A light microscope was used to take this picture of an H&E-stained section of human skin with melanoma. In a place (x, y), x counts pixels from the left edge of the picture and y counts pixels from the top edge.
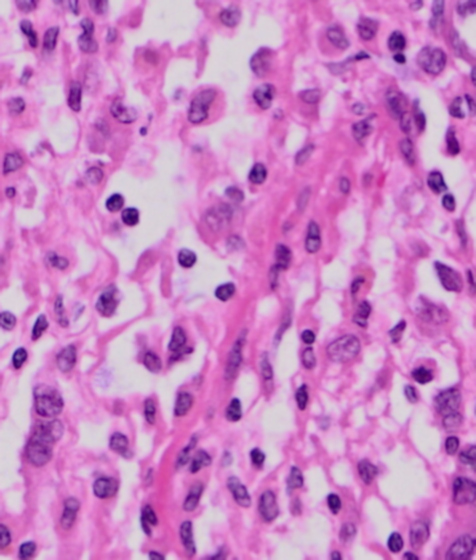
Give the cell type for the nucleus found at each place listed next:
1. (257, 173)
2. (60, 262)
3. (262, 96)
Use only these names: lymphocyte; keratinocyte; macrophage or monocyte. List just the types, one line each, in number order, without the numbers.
lymphocyte
macrophage or monocyte
macrophage or monocyte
